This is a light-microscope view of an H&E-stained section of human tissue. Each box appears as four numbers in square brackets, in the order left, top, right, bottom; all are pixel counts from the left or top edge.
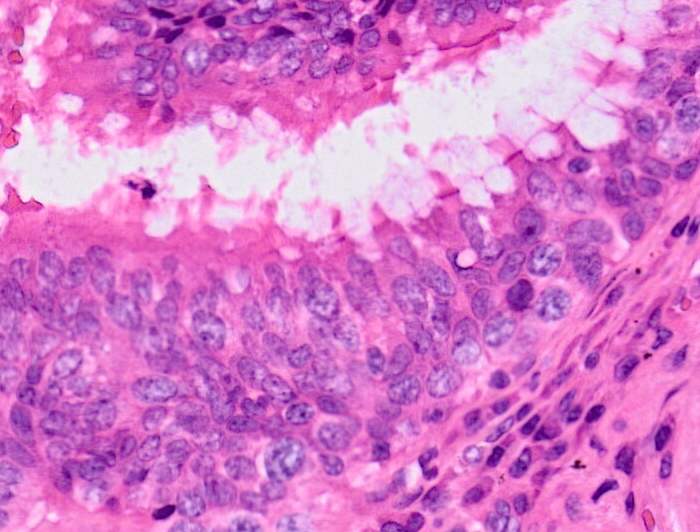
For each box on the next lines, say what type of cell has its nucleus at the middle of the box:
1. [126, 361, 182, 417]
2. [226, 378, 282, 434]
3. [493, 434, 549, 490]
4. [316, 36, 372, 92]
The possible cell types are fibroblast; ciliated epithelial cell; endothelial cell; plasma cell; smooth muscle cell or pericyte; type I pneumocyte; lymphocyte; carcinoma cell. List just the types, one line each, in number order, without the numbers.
ciliated epithelial cell
ciliated epithelial cell
plasma cell
ciliated epithelial cell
